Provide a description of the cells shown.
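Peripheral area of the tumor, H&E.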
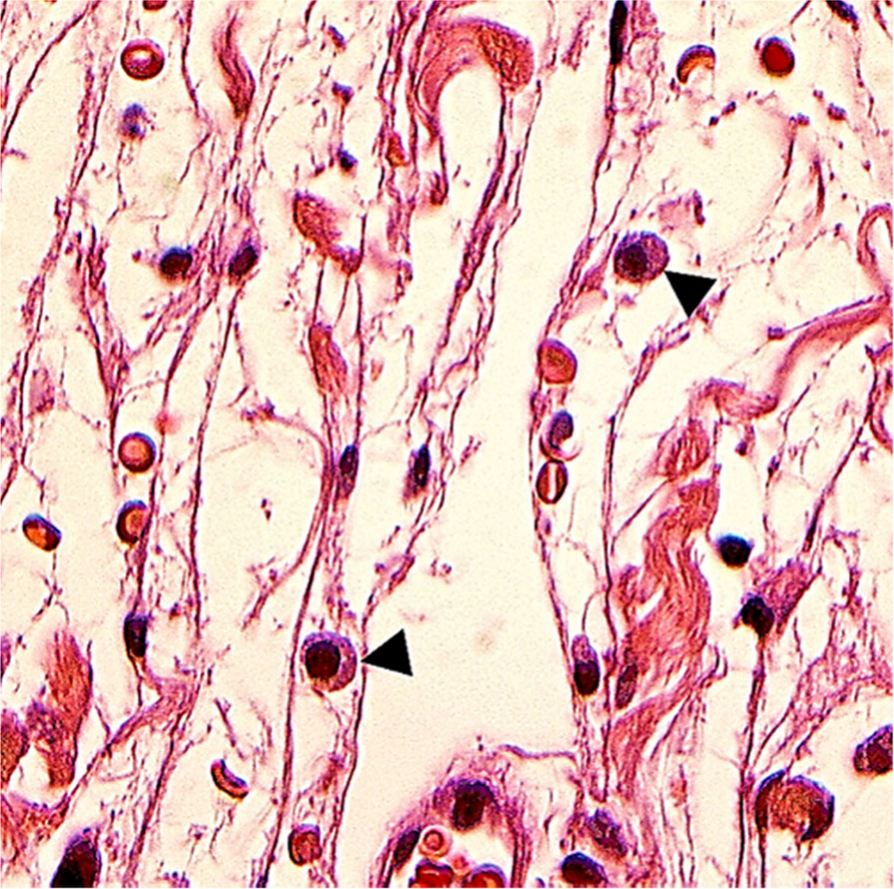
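Loose, pale connective tissue is crossed by thin, wavy pink fibres running in roughly parallel strands, with wide clear spaces between them. Small round orange-red discs of red blood cells lie scattered along the strands.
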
